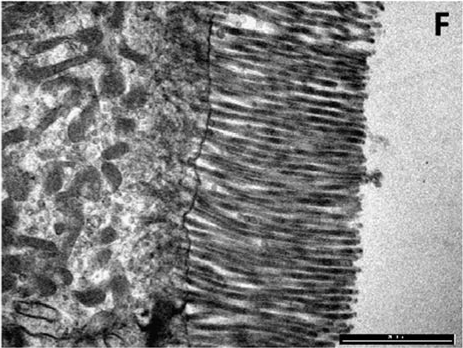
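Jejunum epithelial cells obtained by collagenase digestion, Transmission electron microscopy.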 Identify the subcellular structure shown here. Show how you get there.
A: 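Many slender parallel projections stand side by side on the cell surface. They end at an even free edge toward an empty space. The answer: closely packed microvilli.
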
